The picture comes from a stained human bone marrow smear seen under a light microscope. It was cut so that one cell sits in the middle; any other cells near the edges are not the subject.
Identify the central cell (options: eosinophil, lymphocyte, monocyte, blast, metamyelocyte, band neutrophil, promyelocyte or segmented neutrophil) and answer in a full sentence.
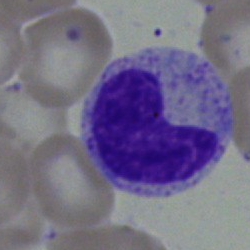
This crop's central cell is a metamyelocyte.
